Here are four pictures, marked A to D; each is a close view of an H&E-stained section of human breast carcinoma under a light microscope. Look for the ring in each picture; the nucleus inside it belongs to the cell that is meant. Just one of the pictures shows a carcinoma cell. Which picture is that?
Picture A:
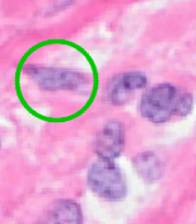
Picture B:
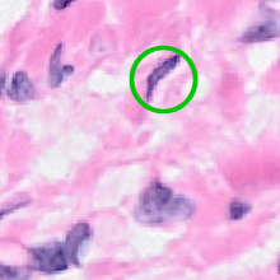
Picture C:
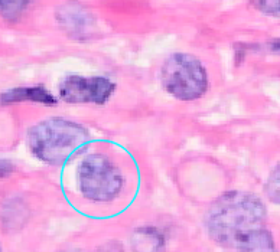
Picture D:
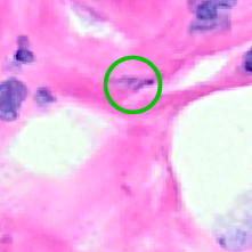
C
